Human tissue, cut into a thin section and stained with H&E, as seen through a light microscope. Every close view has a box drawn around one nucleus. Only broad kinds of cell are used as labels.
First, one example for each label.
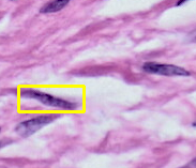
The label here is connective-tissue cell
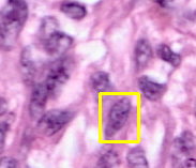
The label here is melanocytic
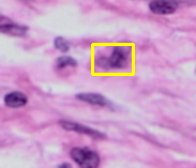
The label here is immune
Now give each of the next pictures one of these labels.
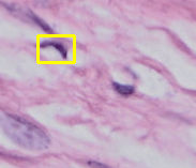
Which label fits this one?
connective-tissue cell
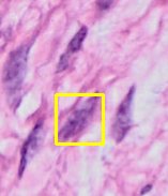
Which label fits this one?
connective-tissue cell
